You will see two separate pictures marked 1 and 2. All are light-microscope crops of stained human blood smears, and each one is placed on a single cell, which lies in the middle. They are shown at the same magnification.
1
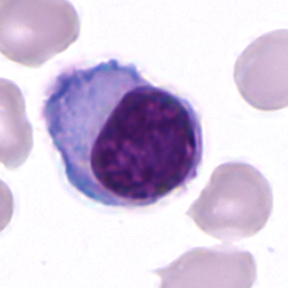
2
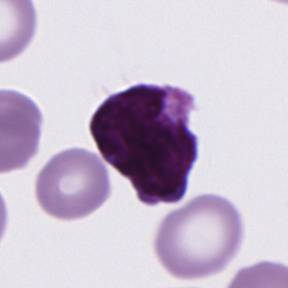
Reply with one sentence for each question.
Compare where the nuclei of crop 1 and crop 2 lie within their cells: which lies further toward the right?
It is the nucleus in crop 1 that lies further toward the right of its cell.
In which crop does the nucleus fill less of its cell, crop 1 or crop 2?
Of the two, the nucleus in crop 1 leaves more room for cytoplasm.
